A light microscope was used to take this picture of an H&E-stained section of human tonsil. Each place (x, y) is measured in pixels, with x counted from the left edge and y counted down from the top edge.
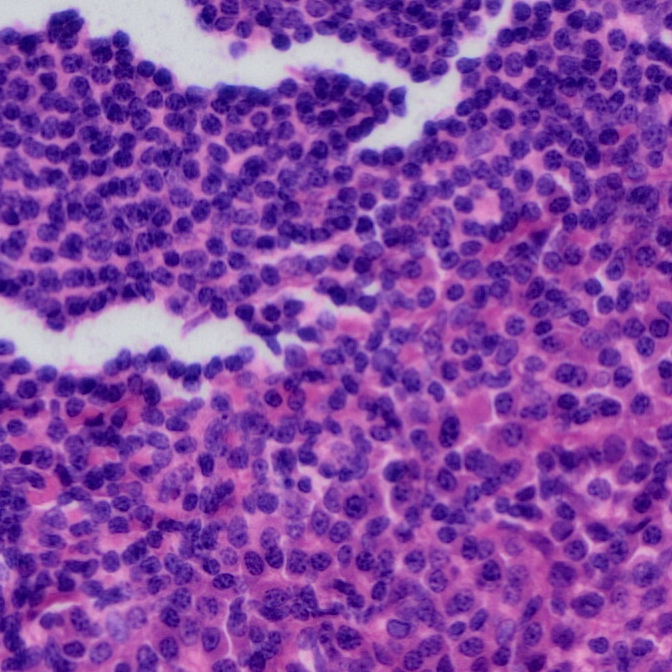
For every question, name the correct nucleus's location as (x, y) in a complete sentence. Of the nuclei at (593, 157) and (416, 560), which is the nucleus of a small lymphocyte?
The cell to which the nucleus at (593, 157) belongs is a small lymphocyte.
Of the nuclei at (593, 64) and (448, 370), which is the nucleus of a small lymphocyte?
At (593, 64) lies the nucleus that belongs to a small lymphocyte.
